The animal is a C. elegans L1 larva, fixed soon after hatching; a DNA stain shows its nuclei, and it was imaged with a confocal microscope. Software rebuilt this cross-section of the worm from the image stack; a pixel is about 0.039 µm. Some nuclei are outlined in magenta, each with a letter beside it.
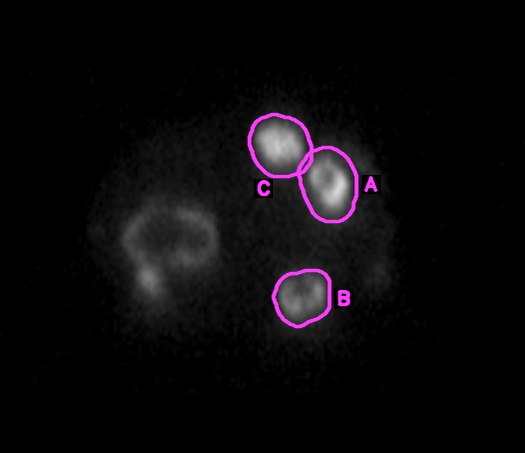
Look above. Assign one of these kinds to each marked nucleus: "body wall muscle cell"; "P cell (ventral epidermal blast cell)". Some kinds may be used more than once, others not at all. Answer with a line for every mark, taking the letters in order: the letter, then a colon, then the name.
A: body wall muscle cell
B: P cell (ventral epidermal blast cell)
C: P cell (ventral epidermal blast cell)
